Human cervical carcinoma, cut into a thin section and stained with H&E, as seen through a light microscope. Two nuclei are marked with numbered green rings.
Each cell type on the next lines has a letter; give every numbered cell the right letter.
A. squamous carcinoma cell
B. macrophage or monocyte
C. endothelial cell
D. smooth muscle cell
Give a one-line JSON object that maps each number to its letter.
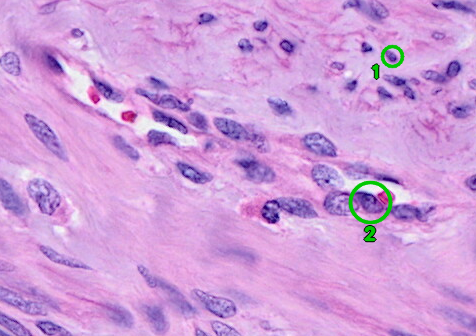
{"1": "D", "2": "C"}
